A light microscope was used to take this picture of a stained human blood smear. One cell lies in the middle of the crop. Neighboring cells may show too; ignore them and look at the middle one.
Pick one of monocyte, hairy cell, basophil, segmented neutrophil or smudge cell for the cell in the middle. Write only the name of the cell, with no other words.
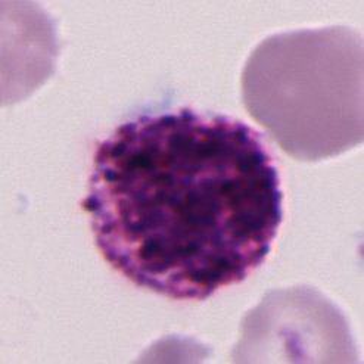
basophil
